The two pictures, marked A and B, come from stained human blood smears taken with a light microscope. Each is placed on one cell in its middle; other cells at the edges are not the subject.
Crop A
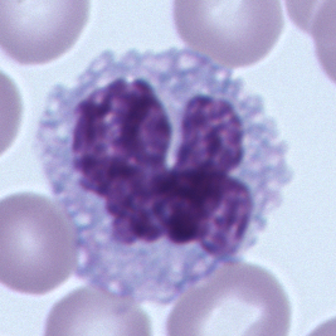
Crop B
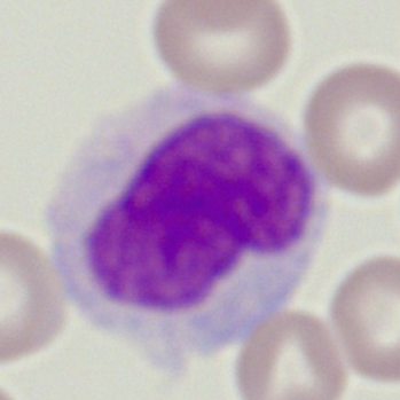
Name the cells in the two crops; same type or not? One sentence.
Yes, monocytes are depicted in both crops.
